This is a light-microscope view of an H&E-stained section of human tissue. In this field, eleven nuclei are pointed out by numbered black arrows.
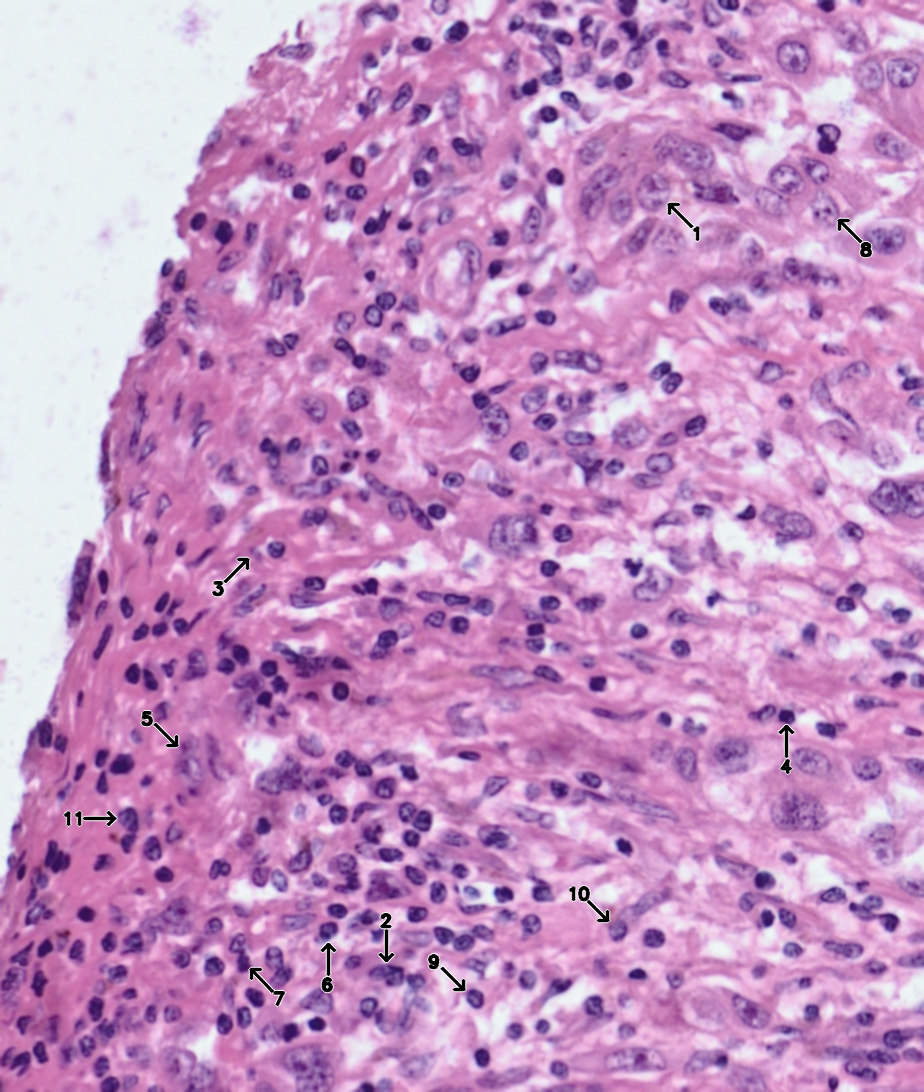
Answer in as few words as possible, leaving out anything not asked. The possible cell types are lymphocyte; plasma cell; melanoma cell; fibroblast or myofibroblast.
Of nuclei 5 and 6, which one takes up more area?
5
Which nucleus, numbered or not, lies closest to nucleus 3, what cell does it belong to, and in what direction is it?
a lymphocyte to the right of nucleus 3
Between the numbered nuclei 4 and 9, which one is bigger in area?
9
